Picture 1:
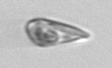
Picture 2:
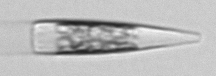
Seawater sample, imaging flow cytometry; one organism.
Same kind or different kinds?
Same: Licmophora.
